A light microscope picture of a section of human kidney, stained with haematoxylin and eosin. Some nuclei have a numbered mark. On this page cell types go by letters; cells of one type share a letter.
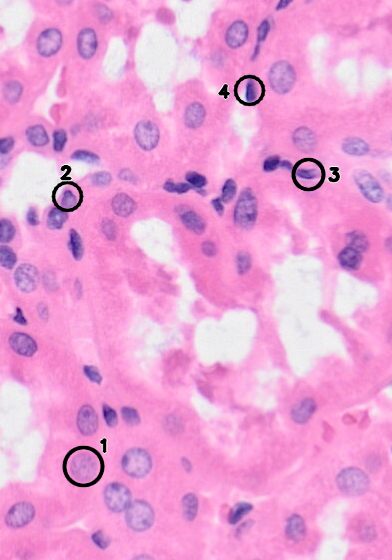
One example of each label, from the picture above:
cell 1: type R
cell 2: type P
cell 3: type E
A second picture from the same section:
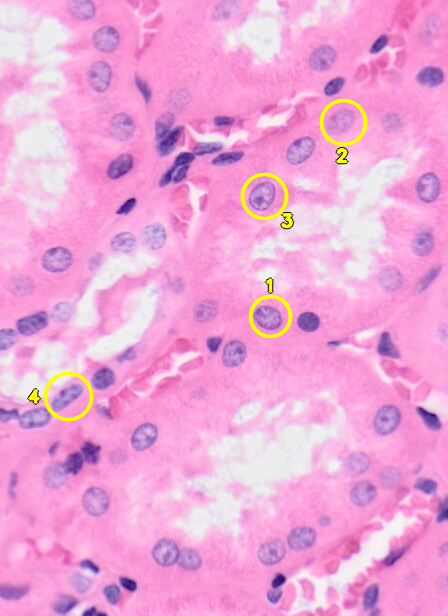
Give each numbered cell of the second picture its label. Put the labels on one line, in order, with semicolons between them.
type R; type R; type R; type P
